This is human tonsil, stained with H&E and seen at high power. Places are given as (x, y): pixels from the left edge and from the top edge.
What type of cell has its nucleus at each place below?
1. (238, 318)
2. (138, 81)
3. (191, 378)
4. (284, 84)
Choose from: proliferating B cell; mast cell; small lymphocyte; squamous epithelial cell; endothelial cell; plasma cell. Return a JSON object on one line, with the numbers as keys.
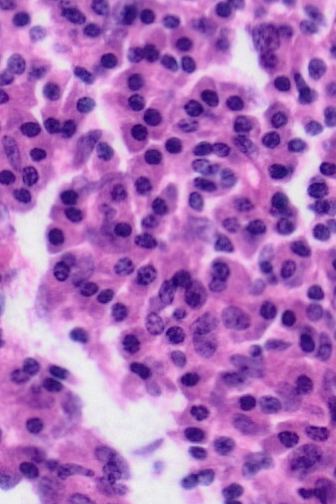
{"1": "squamous epithelial cell", "2": "plasma cell", "3": "plasma cell", "4": "plasma cell"}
